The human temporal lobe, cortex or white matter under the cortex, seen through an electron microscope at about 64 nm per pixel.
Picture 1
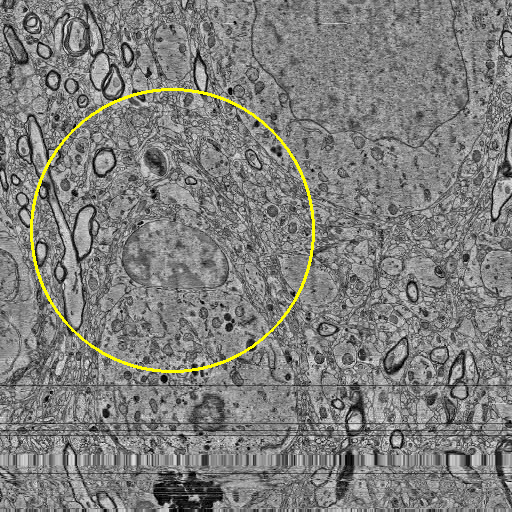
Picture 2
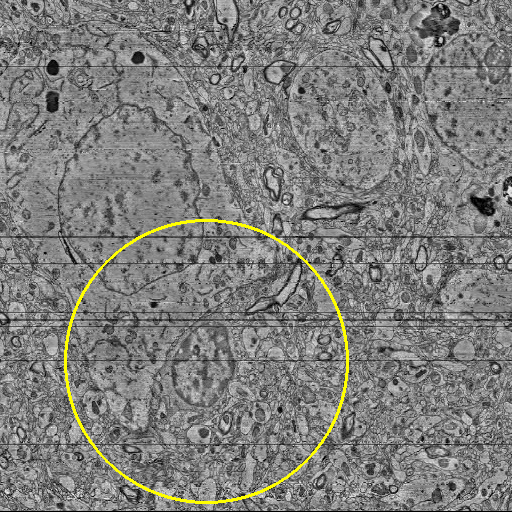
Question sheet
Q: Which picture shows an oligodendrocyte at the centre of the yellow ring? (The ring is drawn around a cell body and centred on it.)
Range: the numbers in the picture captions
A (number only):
2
